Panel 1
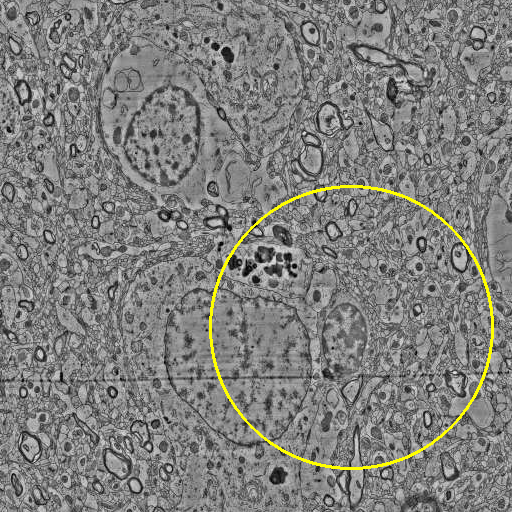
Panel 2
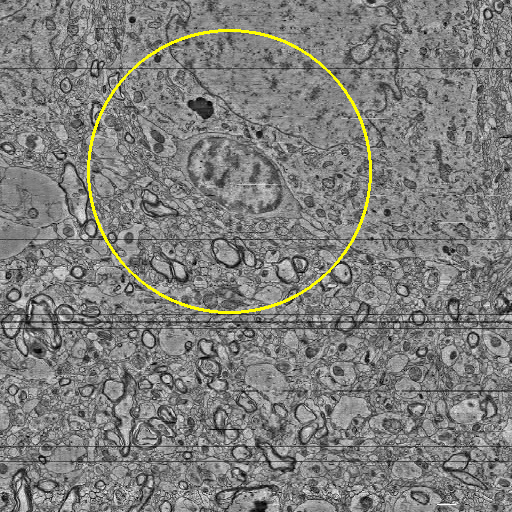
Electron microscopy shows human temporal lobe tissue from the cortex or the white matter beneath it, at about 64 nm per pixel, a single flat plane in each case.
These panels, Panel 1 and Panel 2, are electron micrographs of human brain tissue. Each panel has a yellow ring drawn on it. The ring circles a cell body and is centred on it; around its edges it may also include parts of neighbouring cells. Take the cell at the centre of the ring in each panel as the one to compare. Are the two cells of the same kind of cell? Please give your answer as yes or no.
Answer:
yes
